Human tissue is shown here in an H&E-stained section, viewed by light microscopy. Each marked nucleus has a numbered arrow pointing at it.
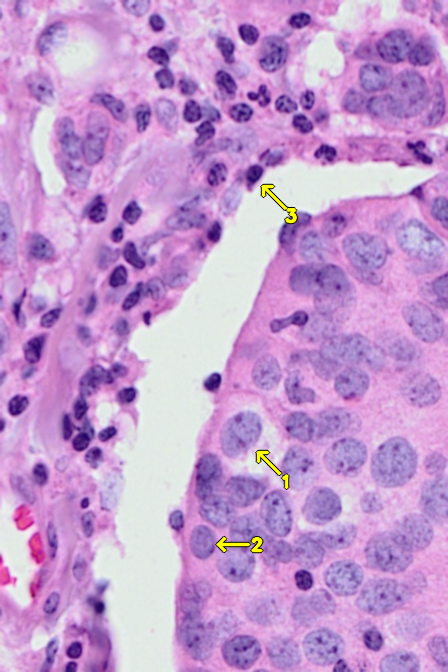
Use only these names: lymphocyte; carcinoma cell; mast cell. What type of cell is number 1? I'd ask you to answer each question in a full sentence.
The identity of cell 1 is that of a carcinoma cell.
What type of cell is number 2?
The cell pointed out as number 2 is a carcinoma cell.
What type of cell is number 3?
The expected answer is that cell 3 is a lymphocyte.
